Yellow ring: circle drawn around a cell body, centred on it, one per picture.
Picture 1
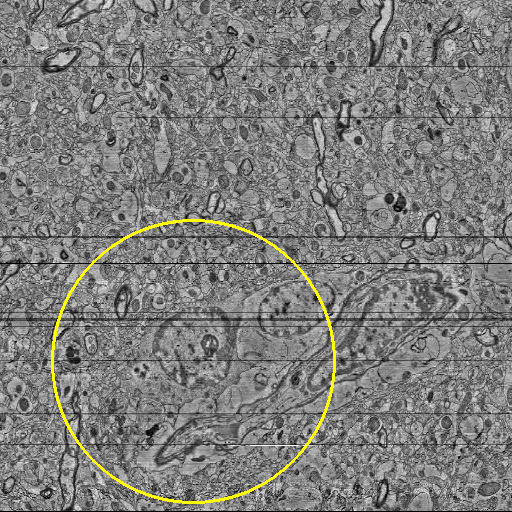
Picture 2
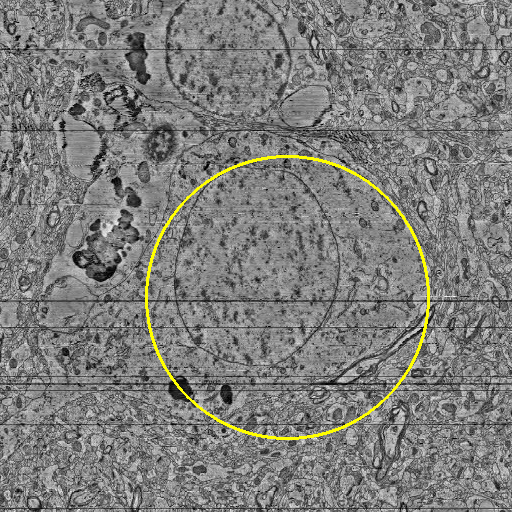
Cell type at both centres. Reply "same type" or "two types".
two types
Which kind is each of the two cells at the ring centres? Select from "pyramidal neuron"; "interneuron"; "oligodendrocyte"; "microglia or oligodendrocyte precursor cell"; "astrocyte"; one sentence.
The cell at the centre of the ring is an oligodendrocyte in the first picture and a pyramidal neuron in the second.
